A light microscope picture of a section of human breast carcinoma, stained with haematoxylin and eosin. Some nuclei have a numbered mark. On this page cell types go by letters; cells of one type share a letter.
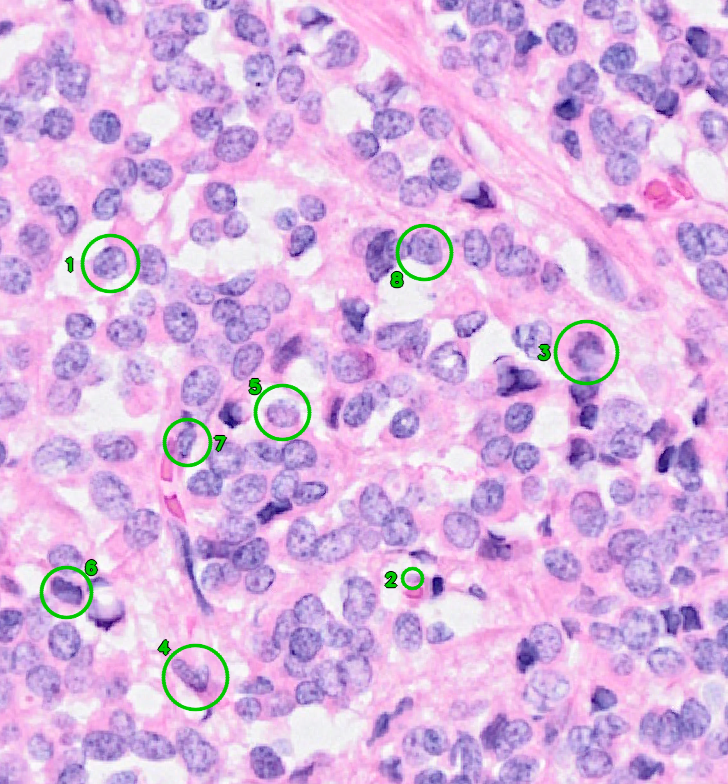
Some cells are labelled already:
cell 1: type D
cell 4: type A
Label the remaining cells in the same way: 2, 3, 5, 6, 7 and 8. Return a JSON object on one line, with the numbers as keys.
{"2": "type A", "3": "type D", "5": "type D", "6": "type D", "7": "type A", "8": "type D"}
